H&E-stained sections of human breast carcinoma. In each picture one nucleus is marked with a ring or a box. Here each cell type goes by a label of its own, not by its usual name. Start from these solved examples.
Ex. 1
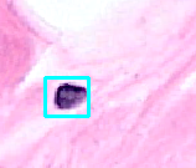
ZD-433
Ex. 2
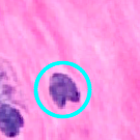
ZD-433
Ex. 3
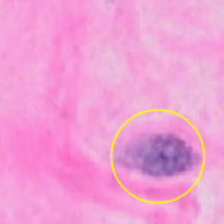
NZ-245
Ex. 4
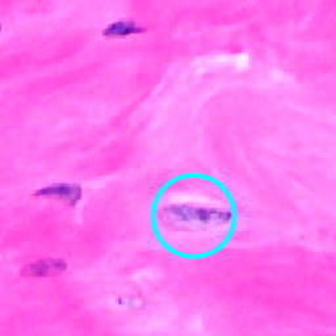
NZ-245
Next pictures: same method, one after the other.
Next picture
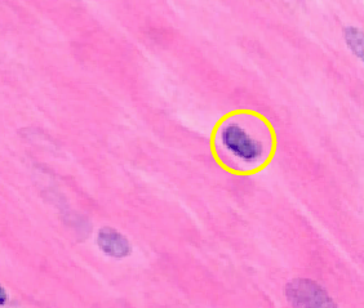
ZD-433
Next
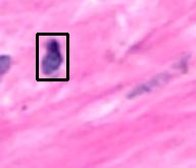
ZD-433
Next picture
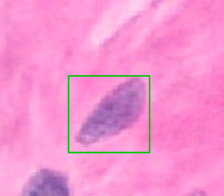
NZ-245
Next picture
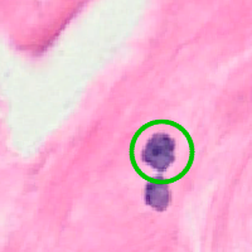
ZD-433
